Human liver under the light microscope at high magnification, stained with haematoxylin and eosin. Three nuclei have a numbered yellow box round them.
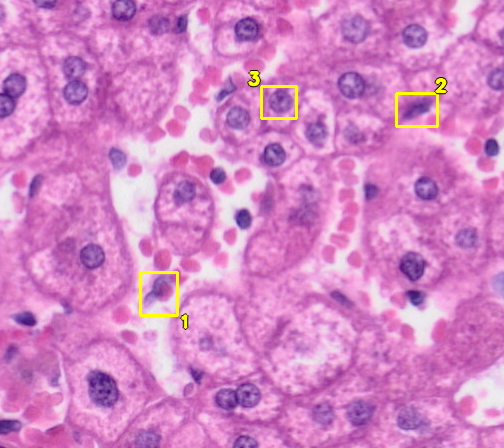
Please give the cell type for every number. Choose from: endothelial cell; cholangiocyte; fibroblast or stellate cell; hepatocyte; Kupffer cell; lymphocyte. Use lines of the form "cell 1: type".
cell 1: Kupffer cell
cell 2: endothelial cell
cell 3: hepatocyte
